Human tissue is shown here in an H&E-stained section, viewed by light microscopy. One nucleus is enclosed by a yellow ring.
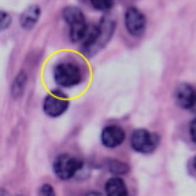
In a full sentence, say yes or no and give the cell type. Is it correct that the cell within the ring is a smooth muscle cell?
No, rather than a smooth muscle cell, the cell within the ring is a plasma cell.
